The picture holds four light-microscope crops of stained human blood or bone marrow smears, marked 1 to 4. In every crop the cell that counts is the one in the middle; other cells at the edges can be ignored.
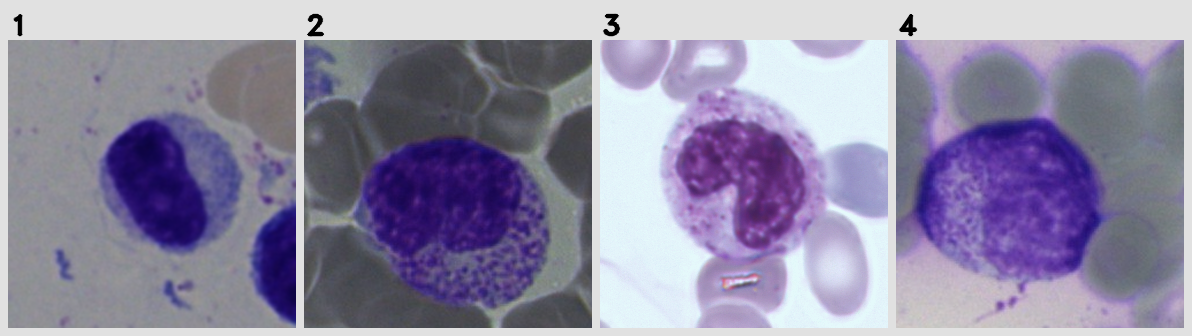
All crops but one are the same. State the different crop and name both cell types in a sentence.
What sets crop 4 apart is that it shows a myelocyte, while the others show metamyelocytes.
